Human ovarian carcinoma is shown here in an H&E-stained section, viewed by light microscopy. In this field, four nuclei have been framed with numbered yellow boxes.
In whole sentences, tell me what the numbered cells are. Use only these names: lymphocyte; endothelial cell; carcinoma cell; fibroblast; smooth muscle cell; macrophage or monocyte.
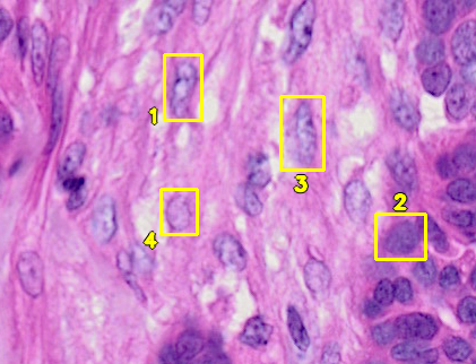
Cell 1 is a fibroblast, cell 2 is a carcinoma cell, cell 3 is a fibroblast and cell 4 is a fibroblast.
